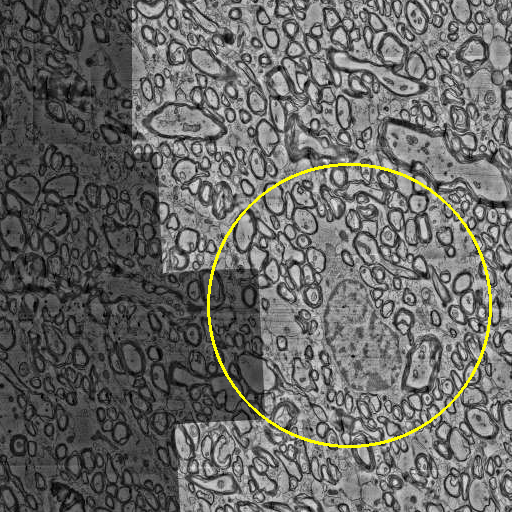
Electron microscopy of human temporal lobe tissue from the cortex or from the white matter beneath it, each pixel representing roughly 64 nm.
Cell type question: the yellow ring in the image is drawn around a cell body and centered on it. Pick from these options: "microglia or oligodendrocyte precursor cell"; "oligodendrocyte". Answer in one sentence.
The ringed cell at the center is an oligodendrocyte.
